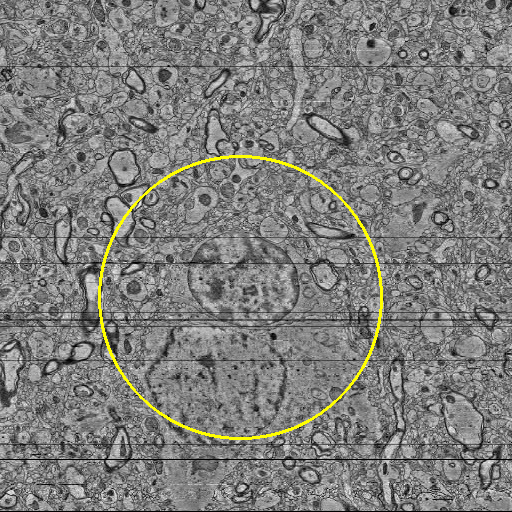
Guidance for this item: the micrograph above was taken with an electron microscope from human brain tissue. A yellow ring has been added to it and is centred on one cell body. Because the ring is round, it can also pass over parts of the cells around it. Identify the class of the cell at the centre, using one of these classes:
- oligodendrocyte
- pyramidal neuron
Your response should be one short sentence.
The ring surrounds the body of an oligodendrocyte.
